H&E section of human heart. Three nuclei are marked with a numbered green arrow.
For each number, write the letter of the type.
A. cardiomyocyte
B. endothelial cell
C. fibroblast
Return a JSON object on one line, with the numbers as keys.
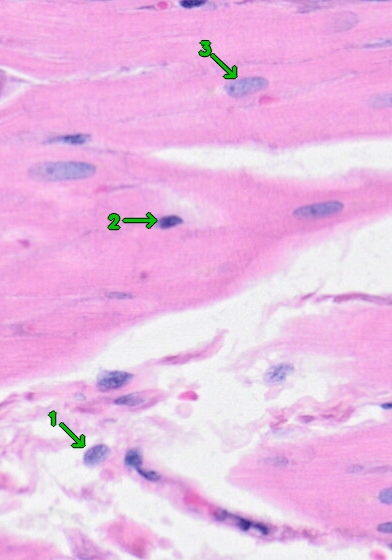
{"1": "C", "2": "B", "3": "A"}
